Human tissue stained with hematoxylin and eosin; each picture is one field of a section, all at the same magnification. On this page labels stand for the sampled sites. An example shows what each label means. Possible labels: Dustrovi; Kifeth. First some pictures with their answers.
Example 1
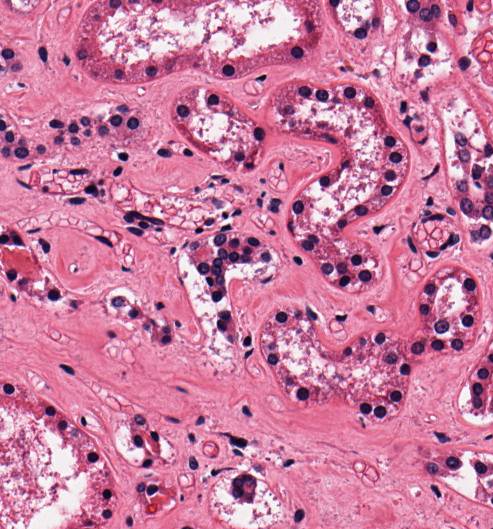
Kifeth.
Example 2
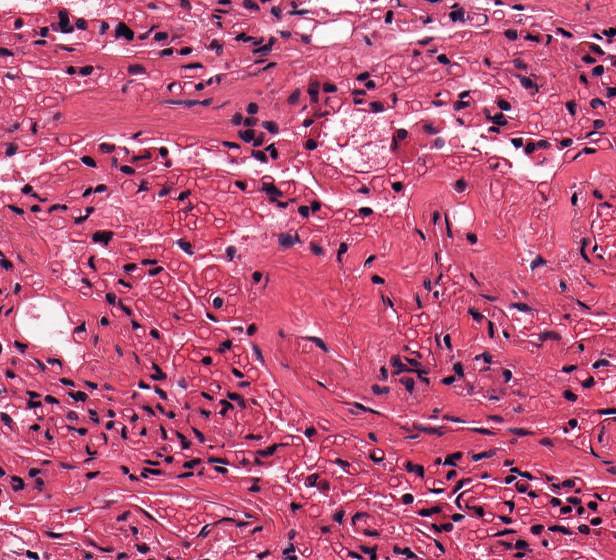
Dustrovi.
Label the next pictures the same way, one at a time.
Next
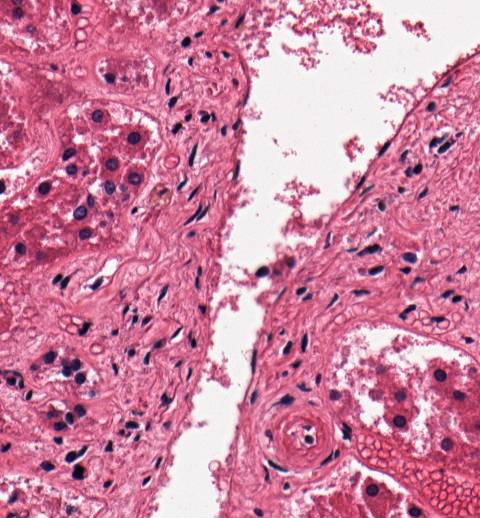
Kifeth.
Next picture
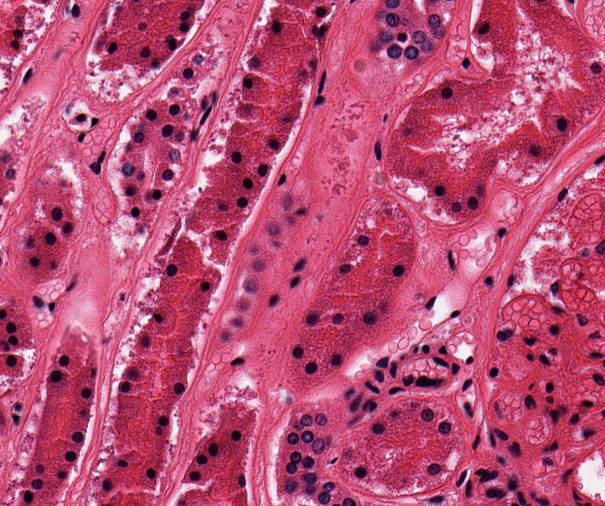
Kifeth.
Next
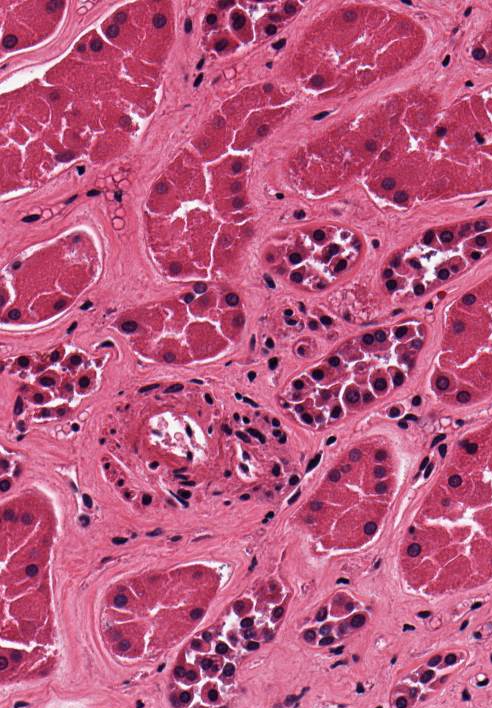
Kifeth.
